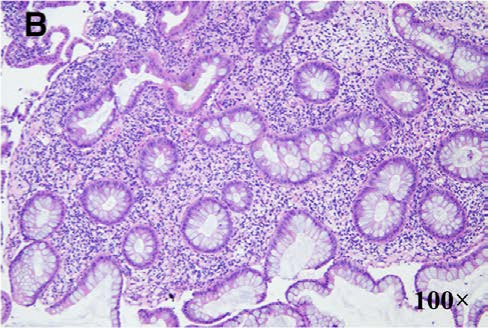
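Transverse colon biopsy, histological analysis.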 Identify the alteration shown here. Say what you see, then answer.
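The lamina propria between the crypts is densely packed with small cells with dark round nuclei.
Answer: chronic inflammatory cell infiltration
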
